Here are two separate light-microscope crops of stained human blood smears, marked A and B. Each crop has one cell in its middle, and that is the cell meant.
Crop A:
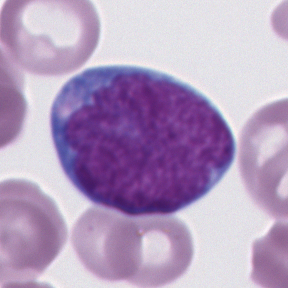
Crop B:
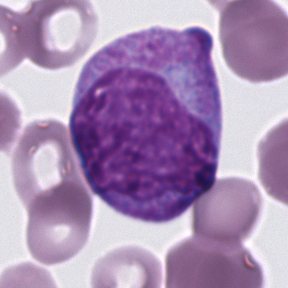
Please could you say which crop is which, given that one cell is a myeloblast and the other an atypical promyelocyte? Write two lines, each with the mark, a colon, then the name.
A: myeloblast
B: atypical promyelocyte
